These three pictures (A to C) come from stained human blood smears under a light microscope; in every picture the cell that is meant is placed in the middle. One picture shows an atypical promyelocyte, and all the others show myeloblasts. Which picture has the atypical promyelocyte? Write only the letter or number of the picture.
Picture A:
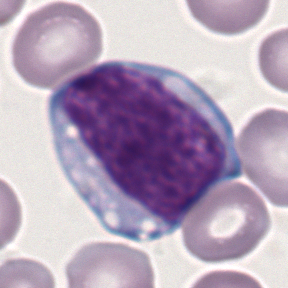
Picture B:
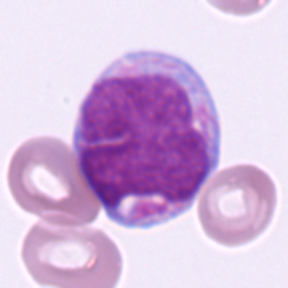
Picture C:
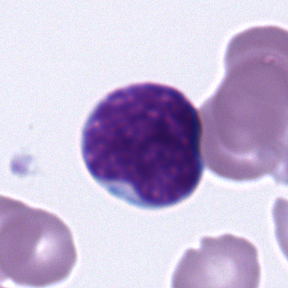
B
